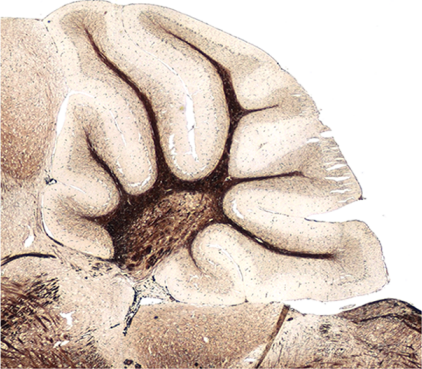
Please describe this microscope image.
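A sagittal section of the cerebellum shows many lobules folded around deep fissures. A dark brown, branching core of white matter runs from a broad central trunk out into each lobule. Around each white-matter branch lies paler, lightly stained cortex, forming the outer layers of the folia. Below the cerebellum, parts of the brain stem with darker fibre tracts are visible. The pattern is the typical foliated, tree-like arrangement of the cerebellum.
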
